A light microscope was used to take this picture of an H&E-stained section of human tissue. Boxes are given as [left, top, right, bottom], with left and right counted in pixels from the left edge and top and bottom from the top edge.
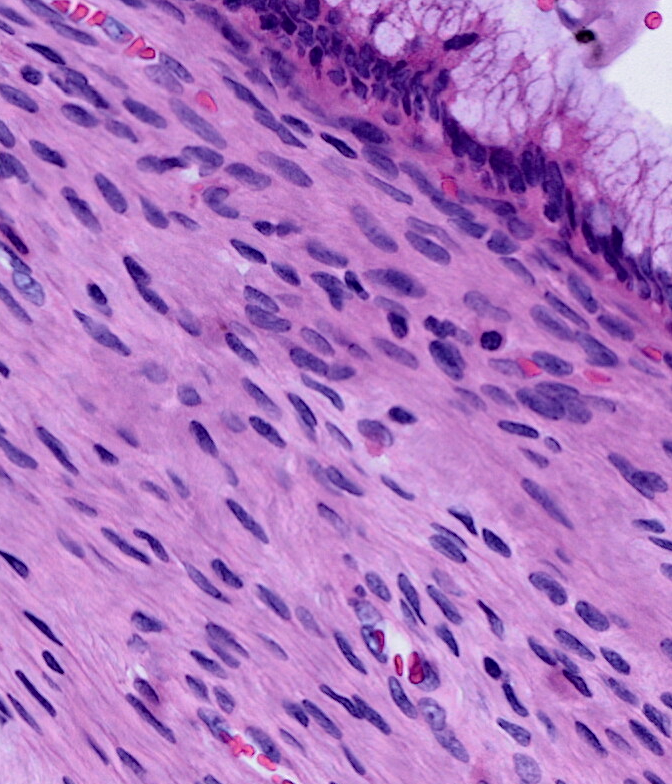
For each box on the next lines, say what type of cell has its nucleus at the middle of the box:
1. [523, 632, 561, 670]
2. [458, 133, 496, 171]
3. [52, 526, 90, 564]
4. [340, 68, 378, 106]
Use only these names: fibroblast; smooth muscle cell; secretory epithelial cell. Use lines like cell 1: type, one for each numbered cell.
cell 1: fibroblast
cell 2: secretory epithelial cell
cell 3: fibroblast
cell 4: secretory epithelial cell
